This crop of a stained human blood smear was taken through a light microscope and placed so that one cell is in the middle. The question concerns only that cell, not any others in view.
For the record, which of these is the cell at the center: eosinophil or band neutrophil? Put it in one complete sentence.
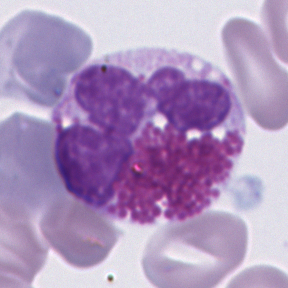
The cell in the middle of this crop is an eosinophil.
